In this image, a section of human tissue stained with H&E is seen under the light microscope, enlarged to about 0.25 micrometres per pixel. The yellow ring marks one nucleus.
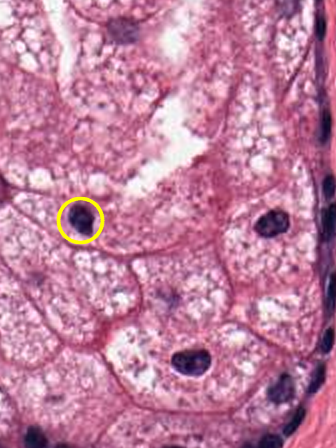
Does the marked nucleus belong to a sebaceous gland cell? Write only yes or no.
yes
